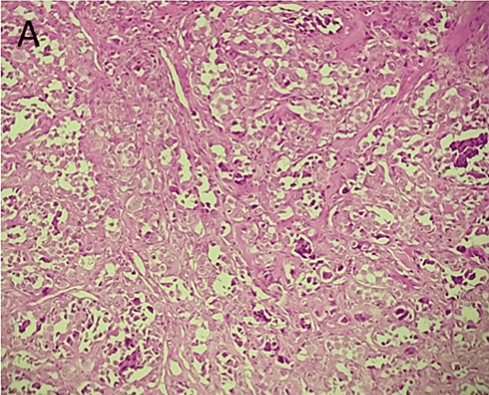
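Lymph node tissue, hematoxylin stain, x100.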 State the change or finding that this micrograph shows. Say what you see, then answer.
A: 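Malignant tumor proliferation. Sheets and nests of large cells fill the whole field. Nuclei are dark, irregular and vary in size. Thin pink fibrous bands separate the cell nests.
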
